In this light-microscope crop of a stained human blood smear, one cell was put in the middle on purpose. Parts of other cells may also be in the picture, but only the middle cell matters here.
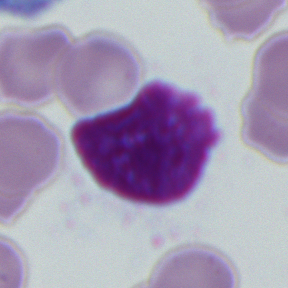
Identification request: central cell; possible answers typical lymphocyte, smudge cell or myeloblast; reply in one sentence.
This crop's central cell is a smudge cell.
